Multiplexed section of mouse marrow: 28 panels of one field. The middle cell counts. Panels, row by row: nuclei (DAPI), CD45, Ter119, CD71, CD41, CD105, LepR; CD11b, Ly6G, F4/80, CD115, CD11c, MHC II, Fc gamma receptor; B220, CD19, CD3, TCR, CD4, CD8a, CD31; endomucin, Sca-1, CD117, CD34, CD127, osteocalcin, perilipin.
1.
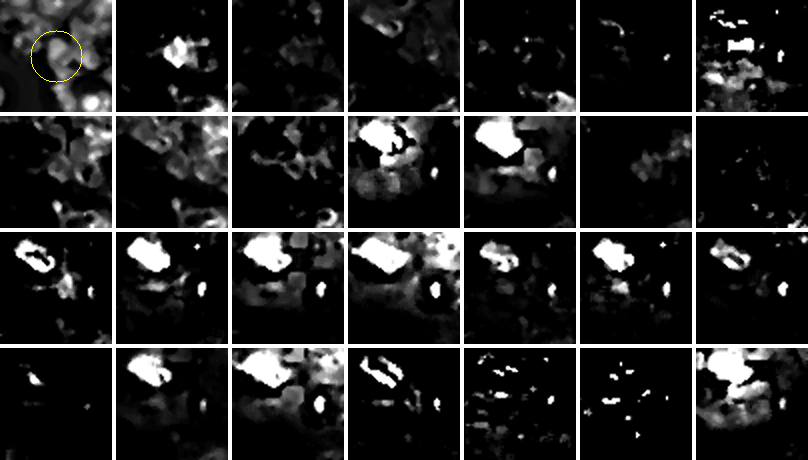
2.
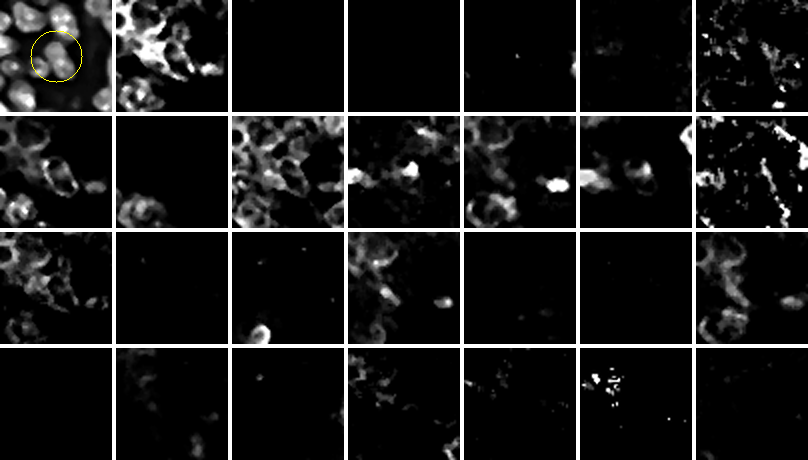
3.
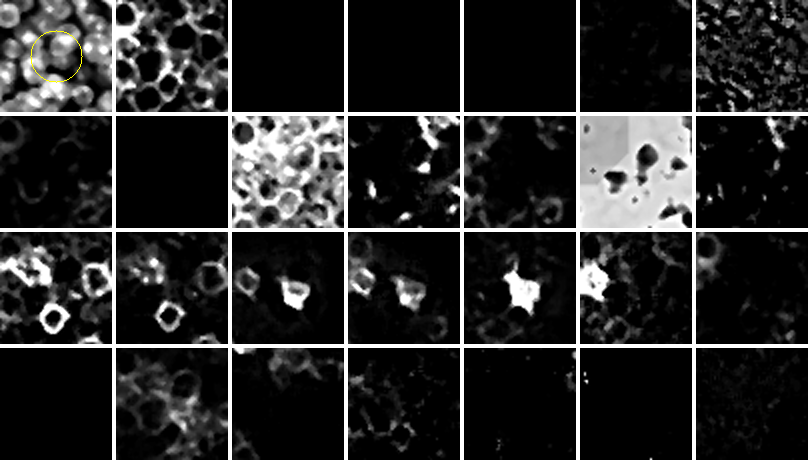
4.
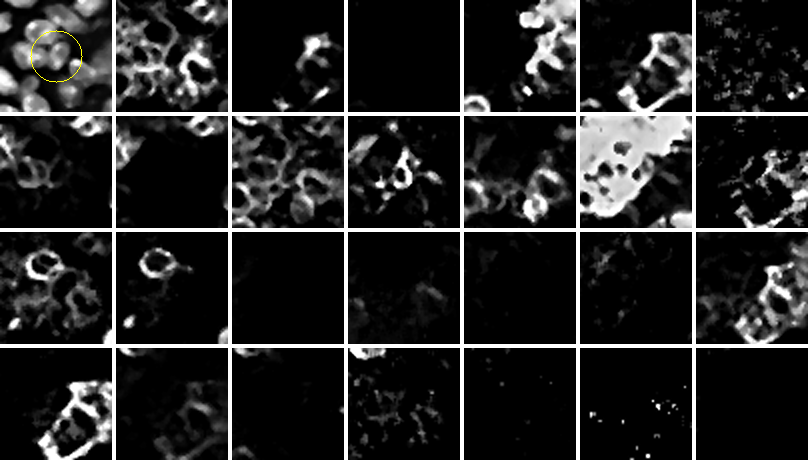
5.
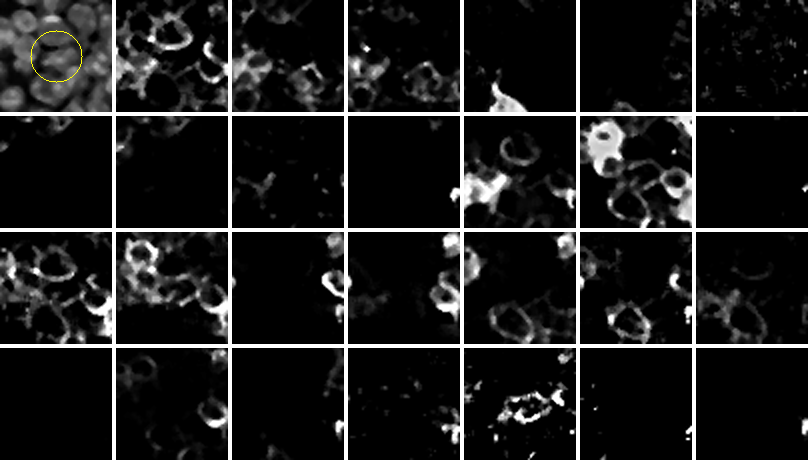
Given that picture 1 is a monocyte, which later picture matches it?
2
